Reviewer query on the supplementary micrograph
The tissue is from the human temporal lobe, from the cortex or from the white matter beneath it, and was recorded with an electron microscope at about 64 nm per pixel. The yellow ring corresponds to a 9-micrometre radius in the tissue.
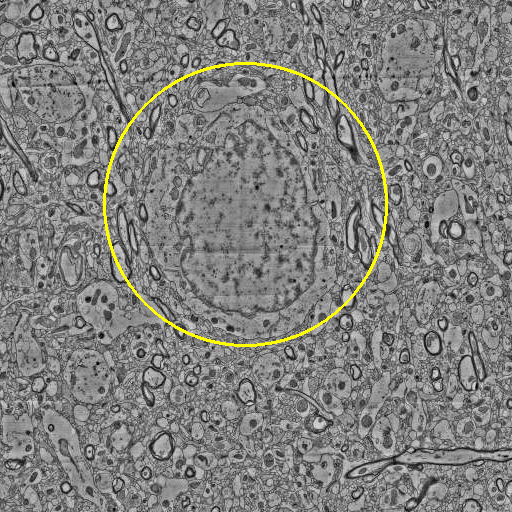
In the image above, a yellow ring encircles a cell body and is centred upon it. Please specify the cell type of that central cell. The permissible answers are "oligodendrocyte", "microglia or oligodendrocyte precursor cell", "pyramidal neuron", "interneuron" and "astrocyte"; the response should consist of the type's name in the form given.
interneuron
